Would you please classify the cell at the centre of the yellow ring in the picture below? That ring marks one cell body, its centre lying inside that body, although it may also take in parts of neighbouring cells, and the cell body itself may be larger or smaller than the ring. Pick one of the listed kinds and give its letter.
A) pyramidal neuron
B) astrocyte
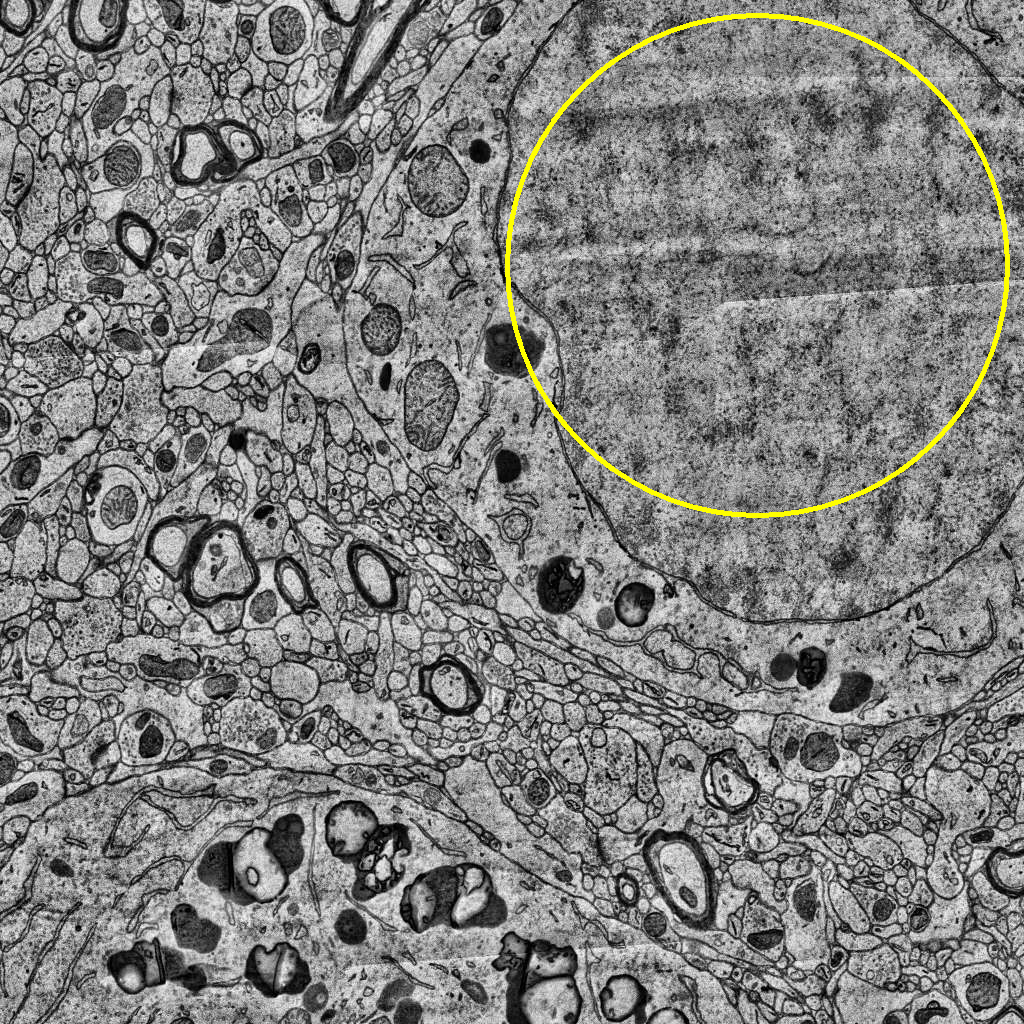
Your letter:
A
